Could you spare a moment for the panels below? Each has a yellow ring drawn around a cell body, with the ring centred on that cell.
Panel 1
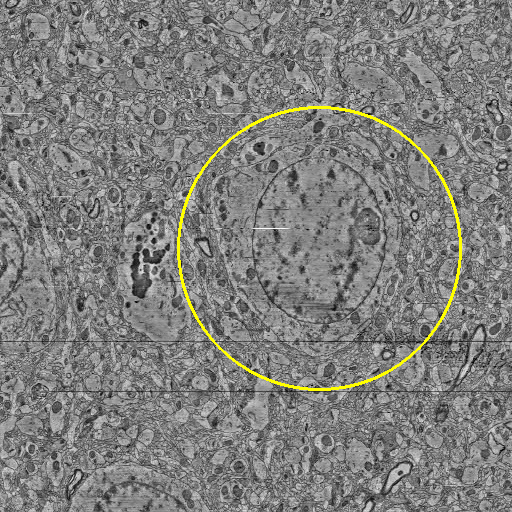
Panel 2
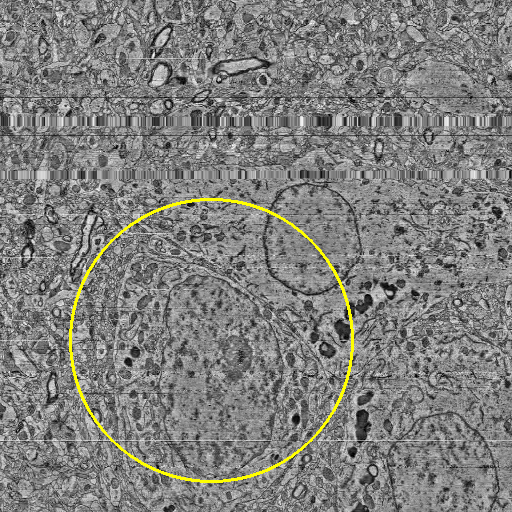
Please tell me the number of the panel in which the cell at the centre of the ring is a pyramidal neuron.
1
